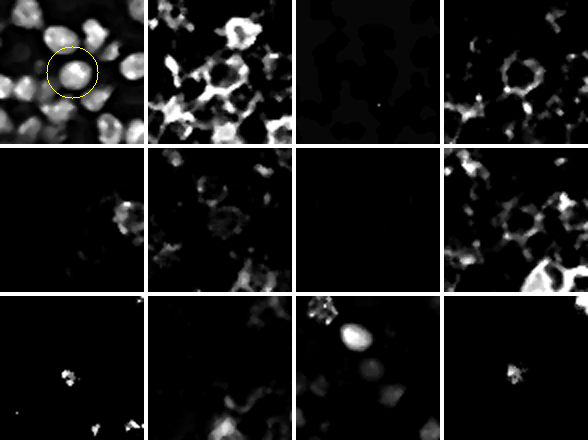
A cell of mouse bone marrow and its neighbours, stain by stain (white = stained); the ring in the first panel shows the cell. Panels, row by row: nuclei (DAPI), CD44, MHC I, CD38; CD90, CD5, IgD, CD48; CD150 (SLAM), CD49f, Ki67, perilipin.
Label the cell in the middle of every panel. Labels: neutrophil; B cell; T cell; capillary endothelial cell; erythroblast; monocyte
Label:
monocyte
